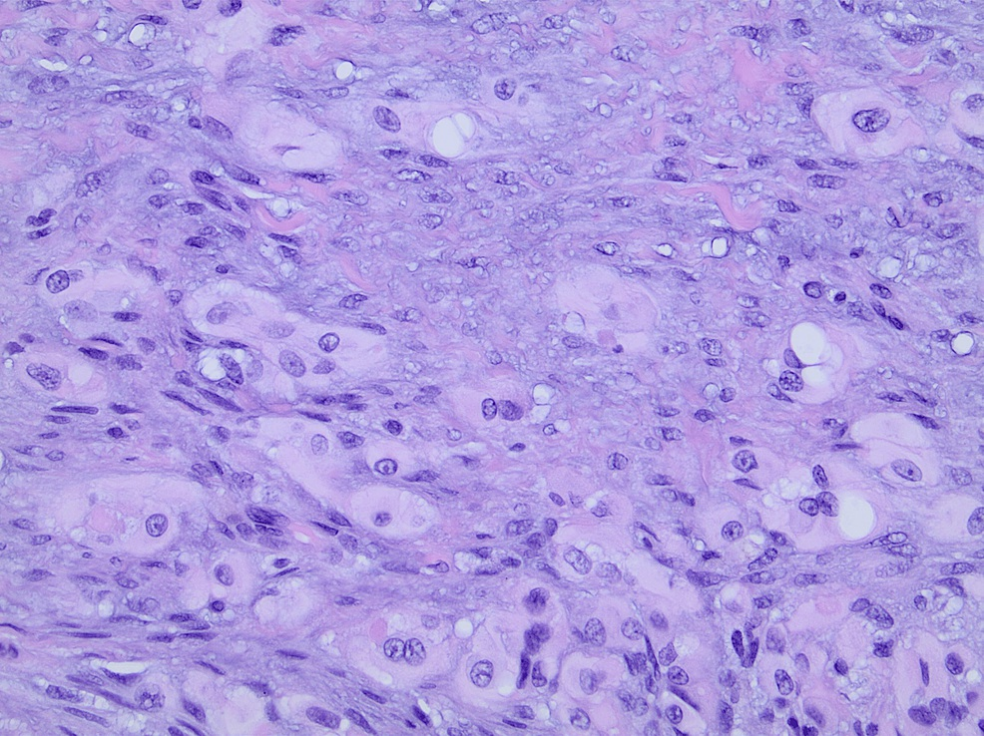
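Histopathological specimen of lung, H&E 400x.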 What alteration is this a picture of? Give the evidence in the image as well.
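Intracytoplasmic vacuolization. Large polygonal cells with abundant pink cytoplasm contain round, clear, empty-looking spaces. Some clear spaces sit beside or indent the nucleus within a single cell. Several cells hold more than one clear vacuole.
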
